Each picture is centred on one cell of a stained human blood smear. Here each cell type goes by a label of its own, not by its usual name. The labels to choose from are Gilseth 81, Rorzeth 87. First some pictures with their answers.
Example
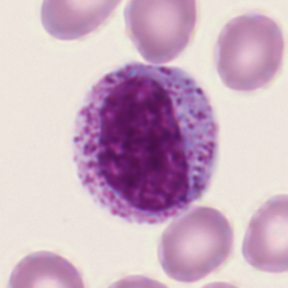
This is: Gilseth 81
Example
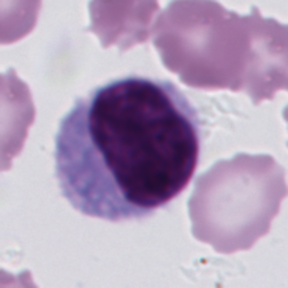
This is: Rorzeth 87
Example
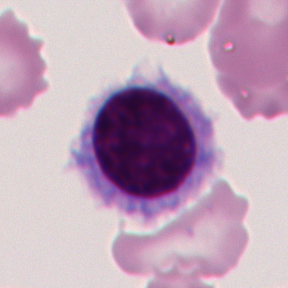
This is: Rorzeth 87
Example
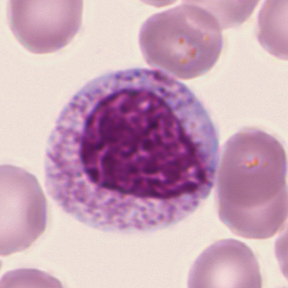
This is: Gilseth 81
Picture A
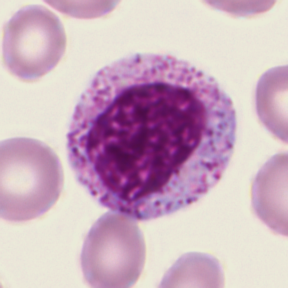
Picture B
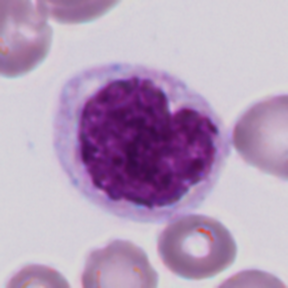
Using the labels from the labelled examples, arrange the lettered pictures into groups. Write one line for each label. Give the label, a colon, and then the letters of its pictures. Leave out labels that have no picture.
Gilseth 81: A, B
